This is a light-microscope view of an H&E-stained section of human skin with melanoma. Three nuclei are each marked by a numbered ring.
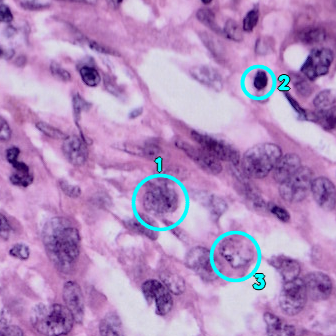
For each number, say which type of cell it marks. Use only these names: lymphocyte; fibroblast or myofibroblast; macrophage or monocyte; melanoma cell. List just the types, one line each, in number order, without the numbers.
melanoma cell
lymphocyte
melanoma cell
